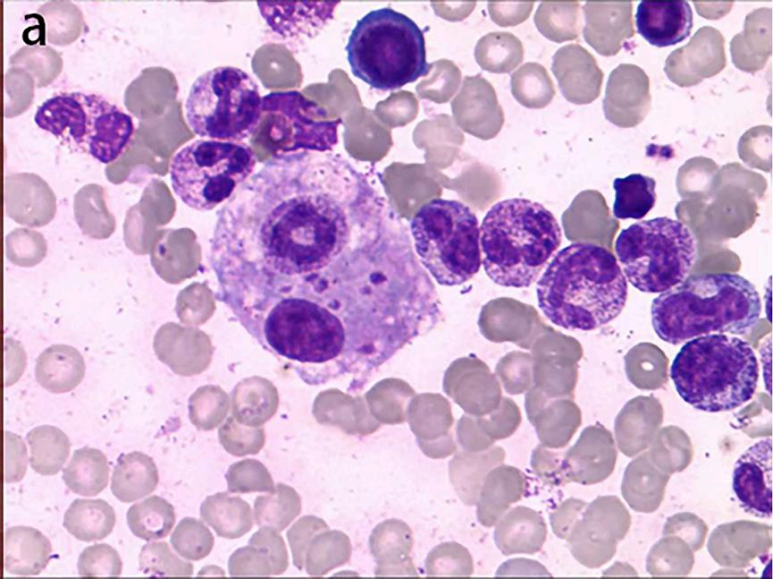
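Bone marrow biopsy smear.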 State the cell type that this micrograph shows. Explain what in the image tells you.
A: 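Hemophagocytic cells. A large cell with abundant pale, finely vacuolated cytoplasm lies in the centre. Two rounded purple nuclear bodies lie inside its cytoplasm. It is much larger than the surrounding granulocytes and red cells.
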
